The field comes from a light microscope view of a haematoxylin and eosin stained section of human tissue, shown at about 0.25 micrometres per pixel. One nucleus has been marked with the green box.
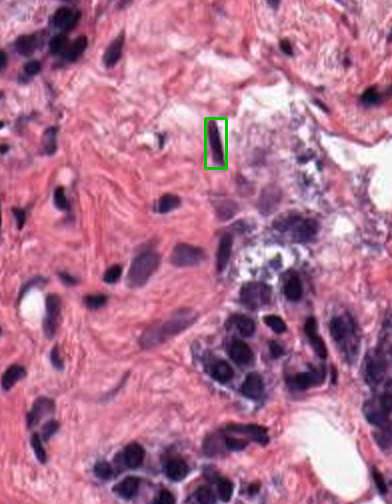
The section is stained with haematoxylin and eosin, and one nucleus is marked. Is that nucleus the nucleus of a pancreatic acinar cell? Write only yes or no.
no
